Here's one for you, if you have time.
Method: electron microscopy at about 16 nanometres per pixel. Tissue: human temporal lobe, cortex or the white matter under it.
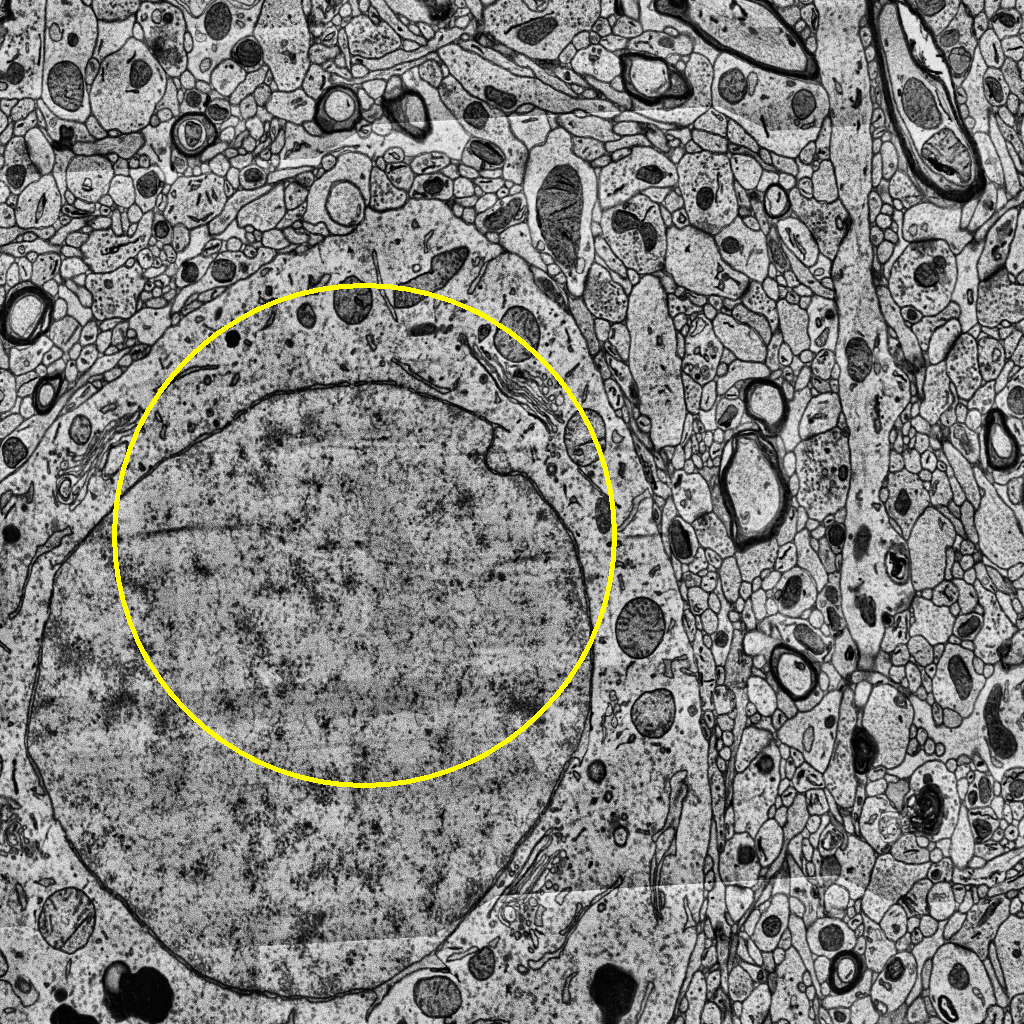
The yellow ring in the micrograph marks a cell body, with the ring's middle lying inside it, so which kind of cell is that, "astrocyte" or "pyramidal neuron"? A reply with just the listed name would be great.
pyramidal neuron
